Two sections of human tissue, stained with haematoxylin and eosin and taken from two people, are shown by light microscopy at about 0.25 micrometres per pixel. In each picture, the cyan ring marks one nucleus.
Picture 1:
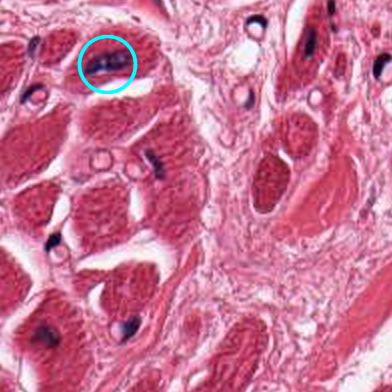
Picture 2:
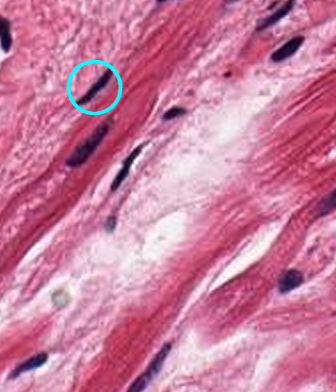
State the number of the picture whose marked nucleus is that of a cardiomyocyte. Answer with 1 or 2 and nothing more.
1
